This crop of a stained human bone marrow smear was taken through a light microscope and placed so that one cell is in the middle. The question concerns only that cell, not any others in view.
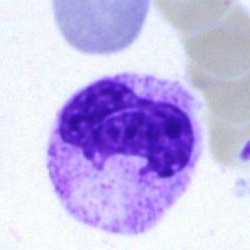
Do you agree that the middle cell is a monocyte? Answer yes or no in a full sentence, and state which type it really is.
No, the cell at the centre is categorised not as a monocyte but as a band neutrophil.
